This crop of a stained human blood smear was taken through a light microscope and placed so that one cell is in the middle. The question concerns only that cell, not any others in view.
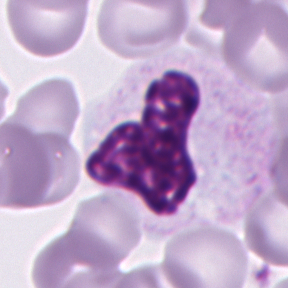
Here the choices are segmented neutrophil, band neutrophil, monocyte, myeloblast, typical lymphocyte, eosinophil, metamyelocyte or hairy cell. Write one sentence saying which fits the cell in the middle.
The central element of this crop is a cell, namely a segmented neutrophil.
